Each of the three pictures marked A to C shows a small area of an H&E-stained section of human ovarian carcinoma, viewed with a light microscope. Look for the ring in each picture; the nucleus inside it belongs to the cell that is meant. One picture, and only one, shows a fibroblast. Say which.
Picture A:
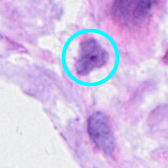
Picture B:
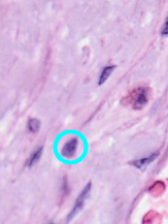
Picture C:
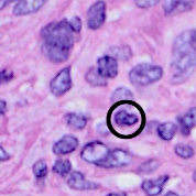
A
